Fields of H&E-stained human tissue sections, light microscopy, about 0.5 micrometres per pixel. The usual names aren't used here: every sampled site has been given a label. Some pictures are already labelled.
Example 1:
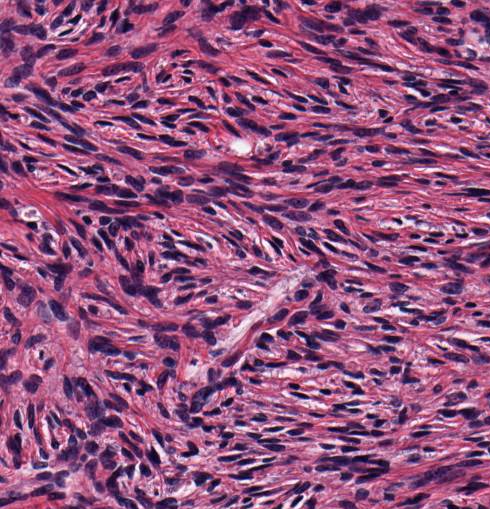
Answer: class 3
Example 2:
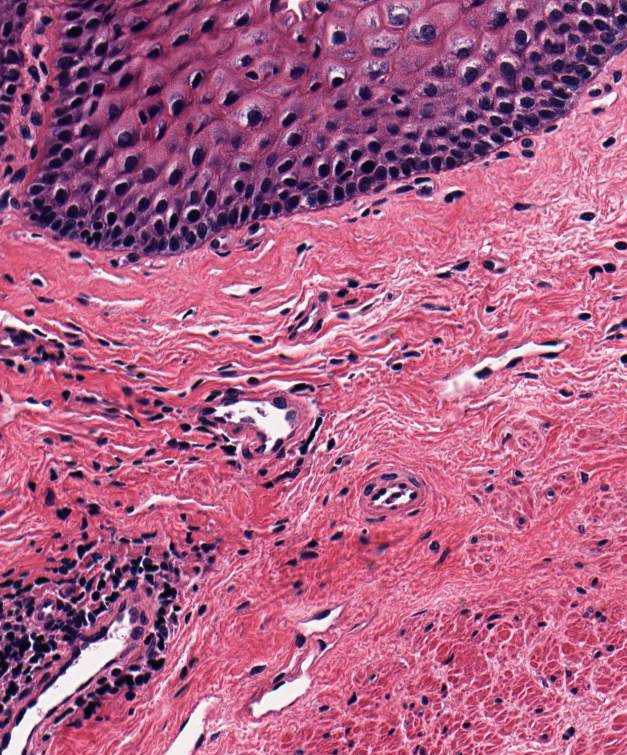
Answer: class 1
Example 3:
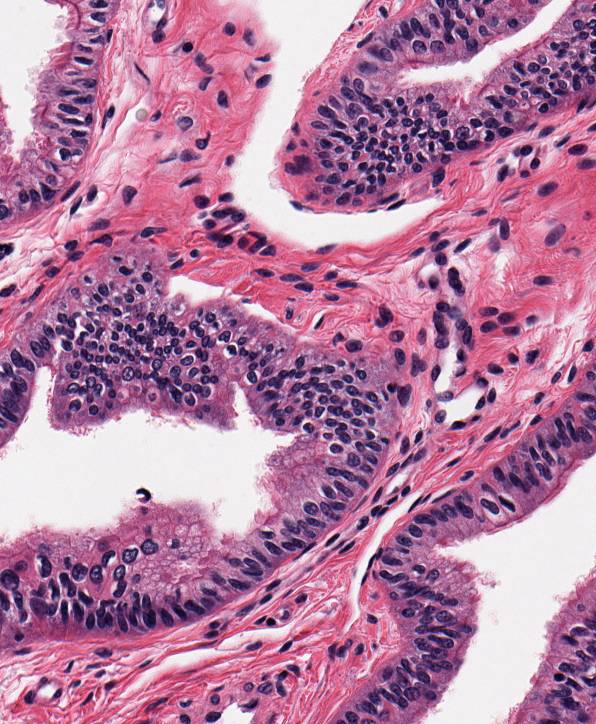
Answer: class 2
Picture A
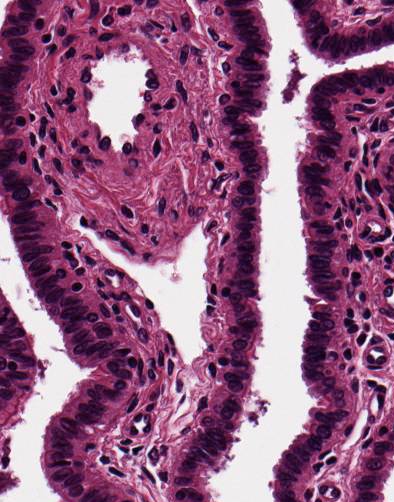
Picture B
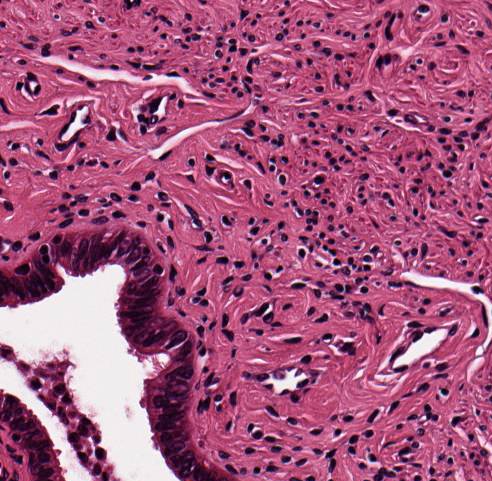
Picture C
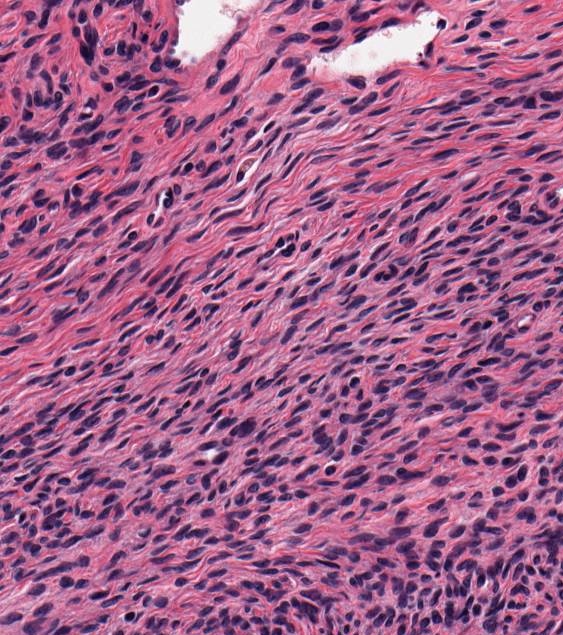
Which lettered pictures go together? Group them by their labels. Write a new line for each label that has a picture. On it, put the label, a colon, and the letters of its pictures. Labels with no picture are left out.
class 3: C
class 2: A, B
